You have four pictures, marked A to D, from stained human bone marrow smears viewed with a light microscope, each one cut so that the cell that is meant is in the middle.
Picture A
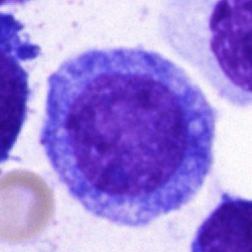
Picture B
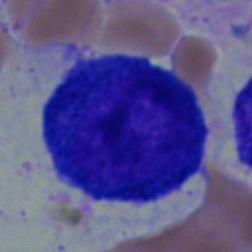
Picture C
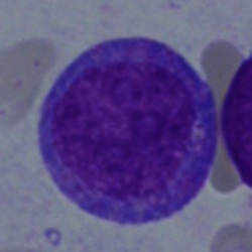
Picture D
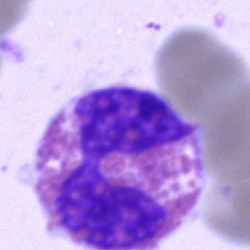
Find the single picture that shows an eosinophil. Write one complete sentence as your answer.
Picture D shows the eosinophil.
